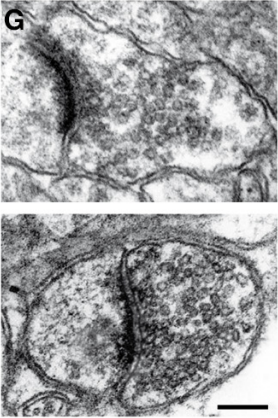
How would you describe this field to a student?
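Two transmission electron micrographs of neuropil, each centred on a synaptic contact. In each, a presynaptic terminal bounded by membrane is filled with many small round clear vesicles clustered toward the contact zone. Across a narrow cleft, the postsynaptic membrane carries a thick, dark, electron-dense band, giving the contact an asymmetric appearance. Surrounding profiles of other neuronal processes with thin membranes fill the remainder of the field.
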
